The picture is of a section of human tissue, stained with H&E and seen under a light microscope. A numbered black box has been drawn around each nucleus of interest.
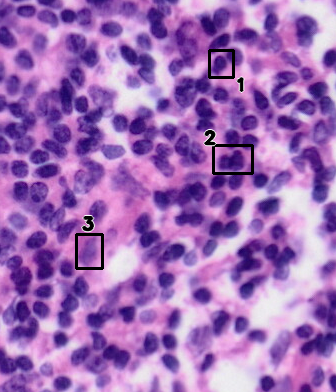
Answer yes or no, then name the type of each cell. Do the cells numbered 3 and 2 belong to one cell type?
No, that's wrong; cell 3 is an endothelial cell and cell 2 is a small lymphocyte.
